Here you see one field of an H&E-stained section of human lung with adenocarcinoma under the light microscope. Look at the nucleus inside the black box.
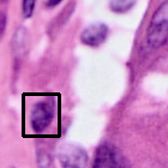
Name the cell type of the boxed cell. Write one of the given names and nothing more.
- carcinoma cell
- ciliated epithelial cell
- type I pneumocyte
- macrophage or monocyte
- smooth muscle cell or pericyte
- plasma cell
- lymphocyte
plasma cell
